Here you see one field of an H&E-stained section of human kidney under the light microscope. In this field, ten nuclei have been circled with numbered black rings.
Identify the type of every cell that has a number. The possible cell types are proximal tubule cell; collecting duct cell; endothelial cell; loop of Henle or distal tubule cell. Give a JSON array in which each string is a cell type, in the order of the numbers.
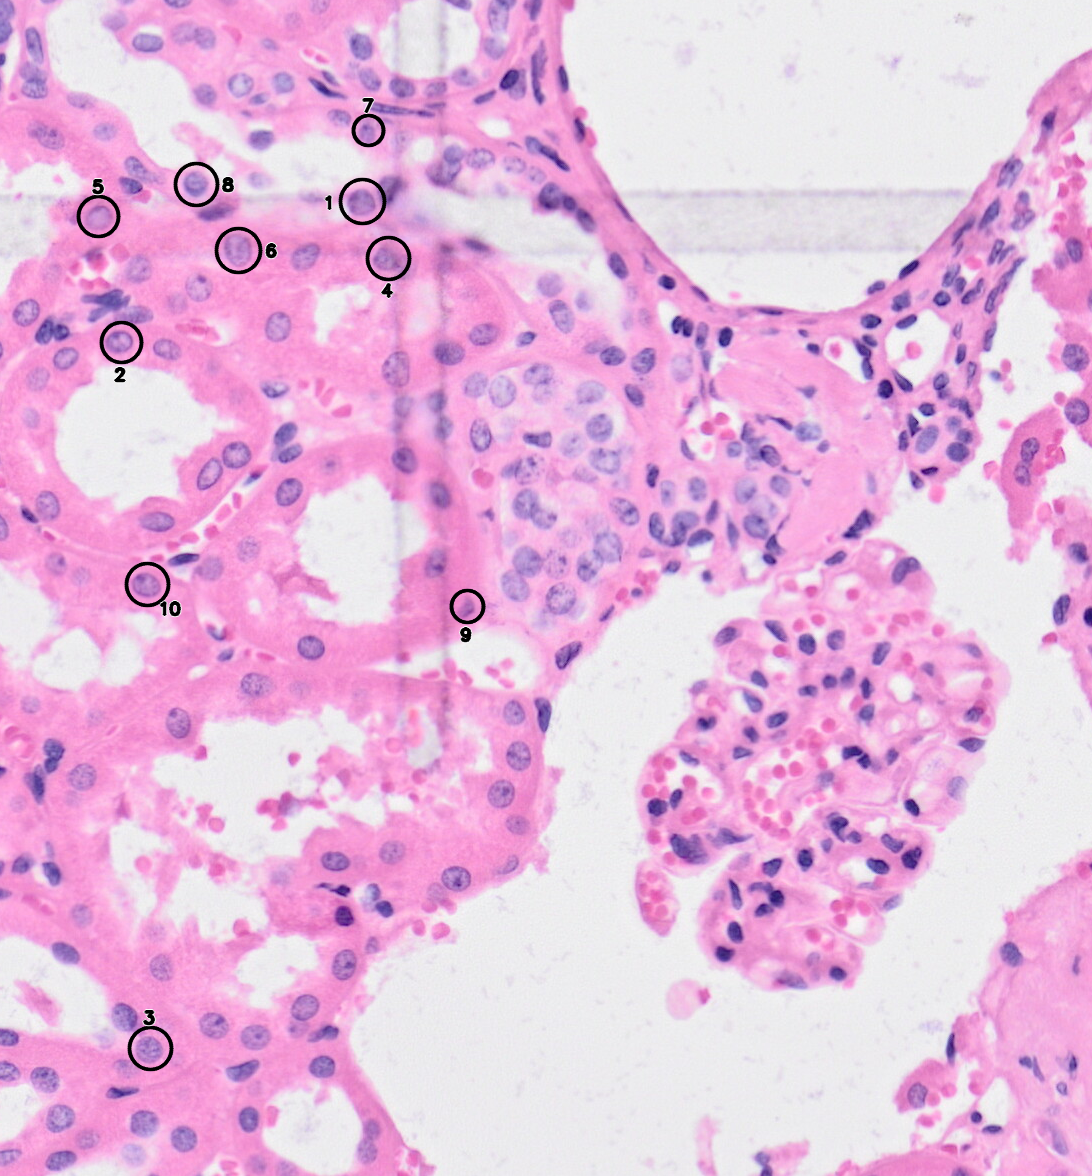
["collecting duct cell", "proximal tubule cell", "loop of Henle or distal tubule cell", "proximal tubule cell", "proximal tubule cell", "proximal tubule cell", "collecting duct cell", "collecting duct cell", "proximal tubule cell", "proximal tubule cell"]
